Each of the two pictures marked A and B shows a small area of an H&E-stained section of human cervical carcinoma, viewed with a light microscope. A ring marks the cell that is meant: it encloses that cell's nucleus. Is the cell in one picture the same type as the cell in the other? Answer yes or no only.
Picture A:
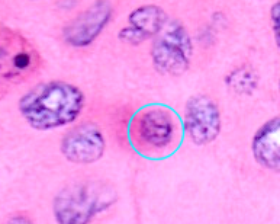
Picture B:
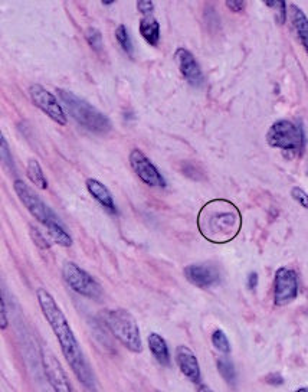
no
